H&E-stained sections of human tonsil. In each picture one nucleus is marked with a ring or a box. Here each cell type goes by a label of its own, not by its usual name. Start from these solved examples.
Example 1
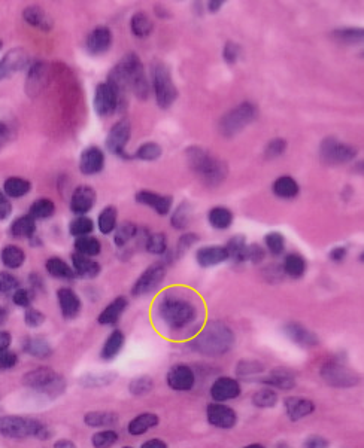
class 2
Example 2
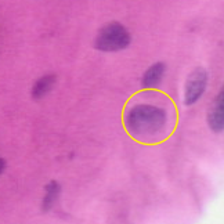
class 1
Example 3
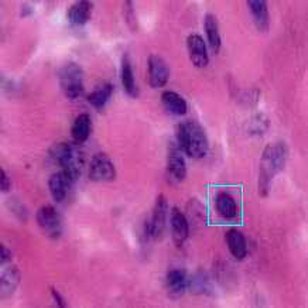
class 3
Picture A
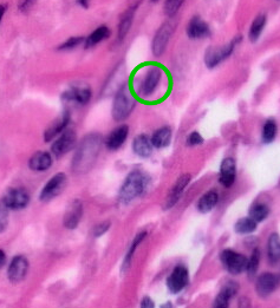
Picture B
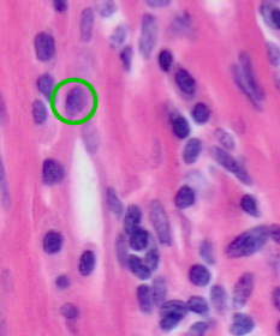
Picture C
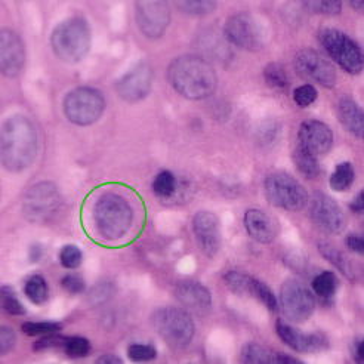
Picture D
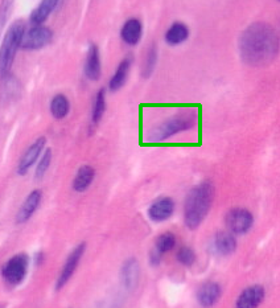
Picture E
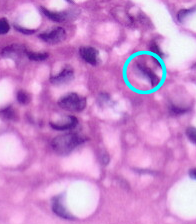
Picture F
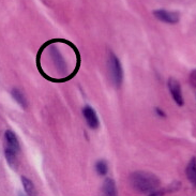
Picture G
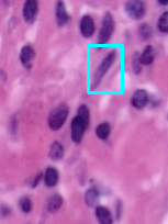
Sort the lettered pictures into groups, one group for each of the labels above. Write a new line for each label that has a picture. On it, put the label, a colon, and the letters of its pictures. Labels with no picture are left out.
class 2: A, B, D, F, G
class 1: C, E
